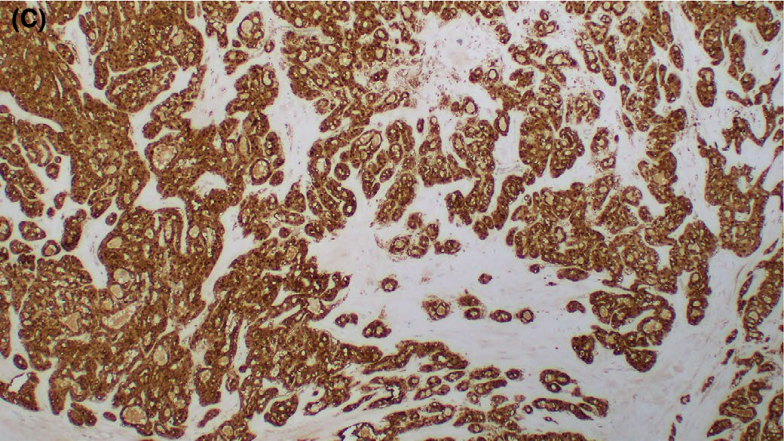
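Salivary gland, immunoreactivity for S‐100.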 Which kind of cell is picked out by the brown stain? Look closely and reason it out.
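Tumor cells. Dense brown stain fills the epithelial cell nests. The pale stroma between the nests is largely unstained.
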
